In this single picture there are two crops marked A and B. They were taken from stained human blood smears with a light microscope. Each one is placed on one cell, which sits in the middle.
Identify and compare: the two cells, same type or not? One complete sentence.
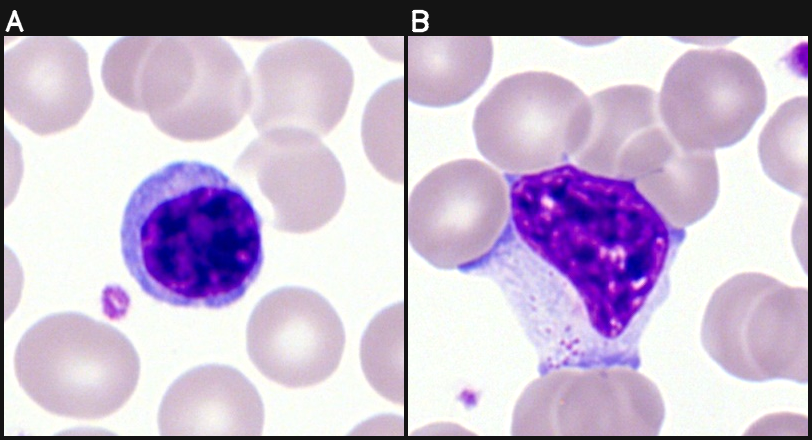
Yes, both crops contain lymphocytes at their centres.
